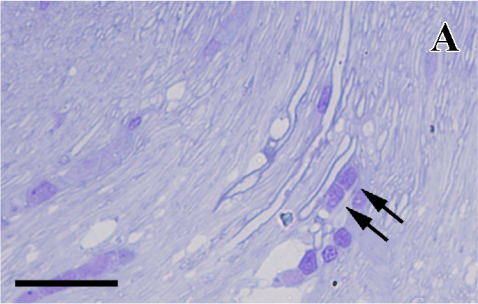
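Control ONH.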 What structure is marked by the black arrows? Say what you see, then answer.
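The nuclei form a chain along the direction of the surrounding fibres. The answer: Cells arranged in rows.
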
